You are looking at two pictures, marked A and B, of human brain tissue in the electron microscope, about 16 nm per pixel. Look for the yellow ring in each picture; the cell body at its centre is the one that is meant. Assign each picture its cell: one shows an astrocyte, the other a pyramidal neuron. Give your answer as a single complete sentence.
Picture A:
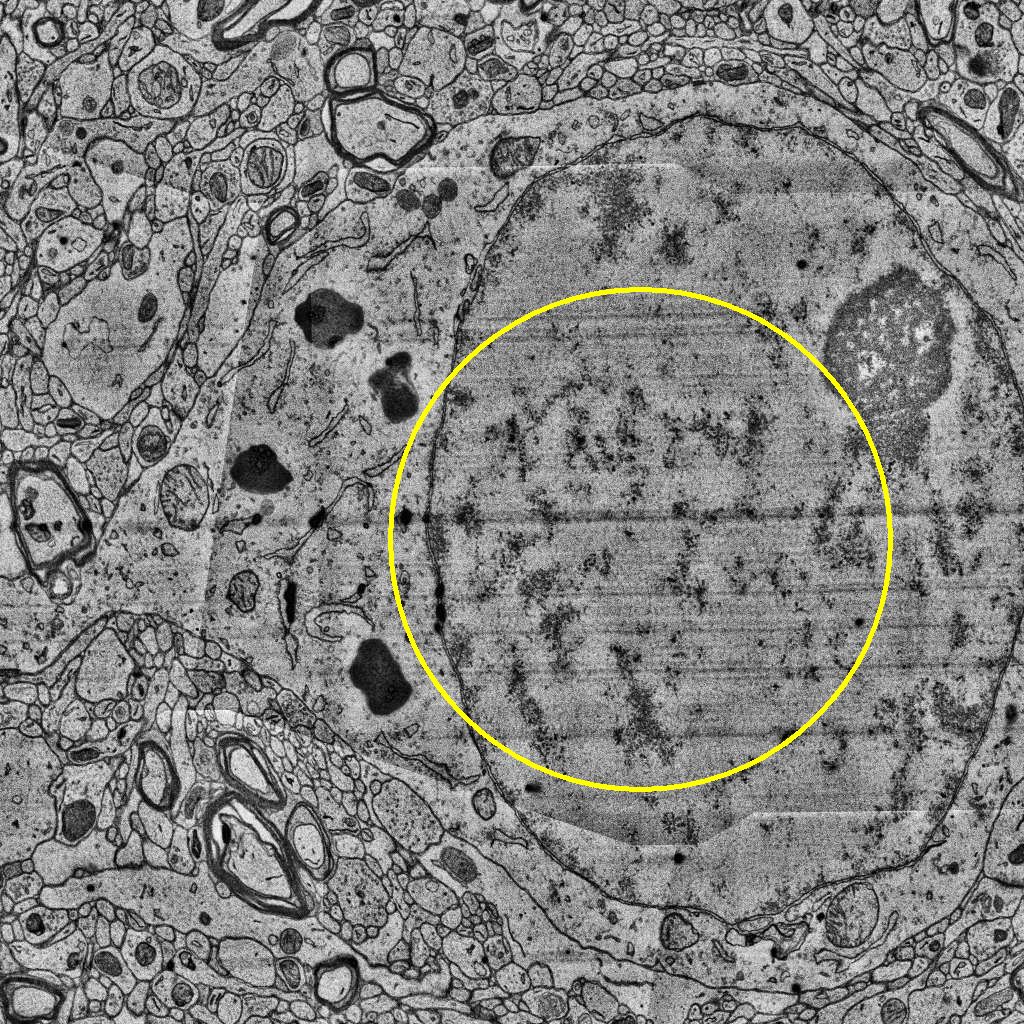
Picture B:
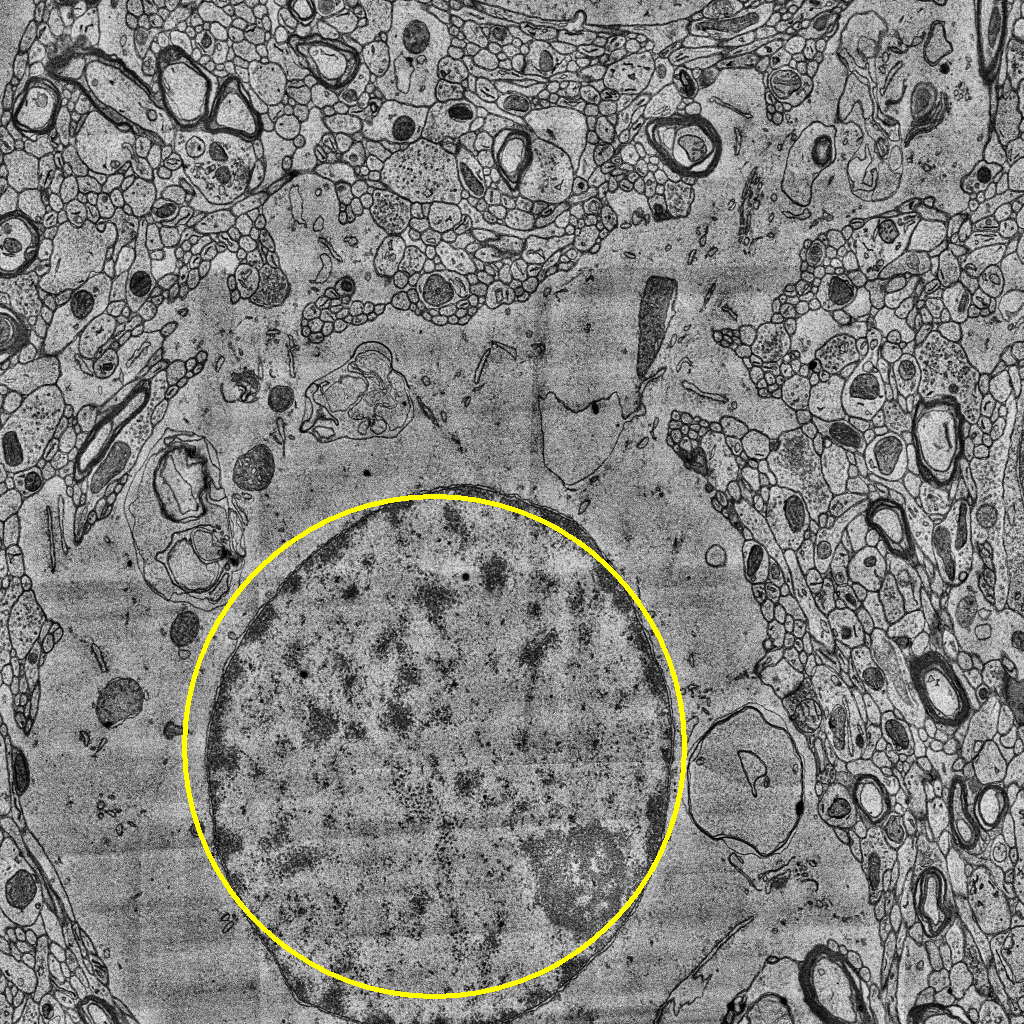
In picture A the cell is a pyramidal neuron; in picture B, an astrocyte.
